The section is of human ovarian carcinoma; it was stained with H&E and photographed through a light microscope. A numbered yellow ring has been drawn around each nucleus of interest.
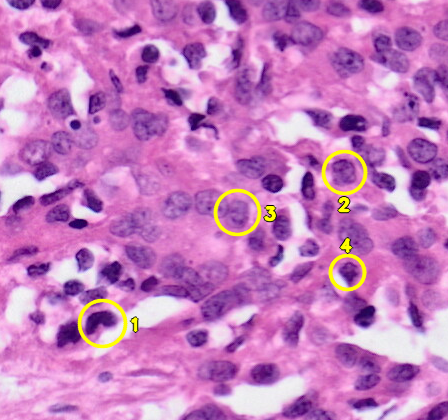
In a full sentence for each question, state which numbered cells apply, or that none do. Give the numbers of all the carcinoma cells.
The cells numbered 1, 3 and 4 are, by type, carcinoma cells.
